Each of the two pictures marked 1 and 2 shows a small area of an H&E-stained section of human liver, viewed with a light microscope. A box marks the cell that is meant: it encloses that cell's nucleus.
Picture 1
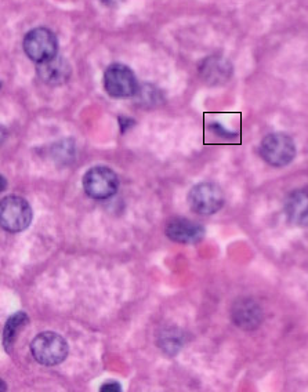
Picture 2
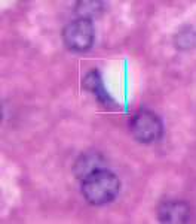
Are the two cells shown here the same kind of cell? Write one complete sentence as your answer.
Yes, both are endothelial cells.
